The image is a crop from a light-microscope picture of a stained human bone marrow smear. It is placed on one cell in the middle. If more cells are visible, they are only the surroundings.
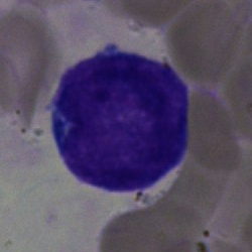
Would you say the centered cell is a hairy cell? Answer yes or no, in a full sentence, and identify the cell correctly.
No, rather than being a hairy cell, the central cell is a blast.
